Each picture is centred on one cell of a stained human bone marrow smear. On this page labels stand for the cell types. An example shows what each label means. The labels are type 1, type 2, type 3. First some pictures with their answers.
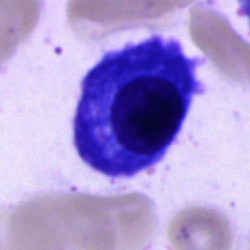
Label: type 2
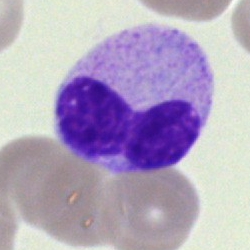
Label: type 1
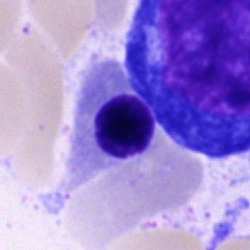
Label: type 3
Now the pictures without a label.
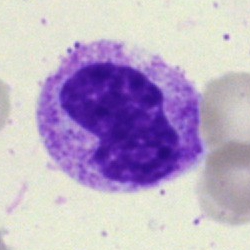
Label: type 1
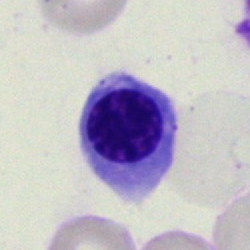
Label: type 3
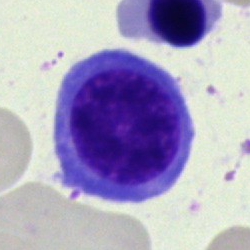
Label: type 3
